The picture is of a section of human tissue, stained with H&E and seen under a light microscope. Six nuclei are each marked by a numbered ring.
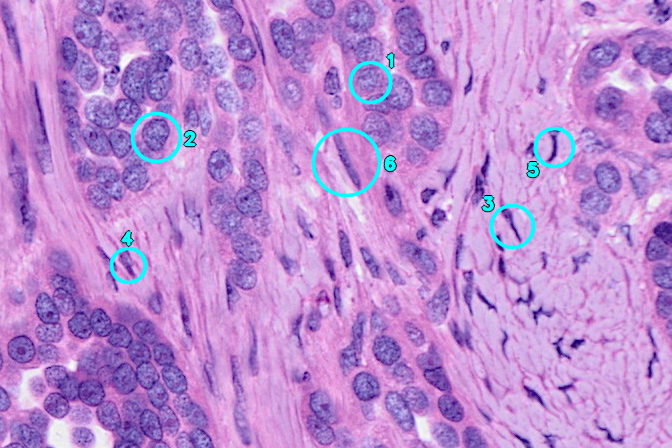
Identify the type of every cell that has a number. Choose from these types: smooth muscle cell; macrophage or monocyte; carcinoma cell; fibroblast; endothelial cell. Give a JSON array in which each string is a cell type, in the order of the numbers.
["carcinoma cell", "carcinoma cell", "fibroblast", "fibroblast", "fibroblast", "fibroblast"]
